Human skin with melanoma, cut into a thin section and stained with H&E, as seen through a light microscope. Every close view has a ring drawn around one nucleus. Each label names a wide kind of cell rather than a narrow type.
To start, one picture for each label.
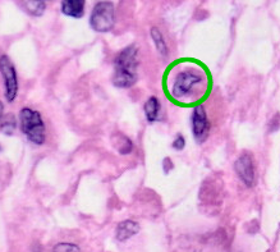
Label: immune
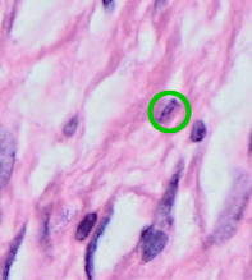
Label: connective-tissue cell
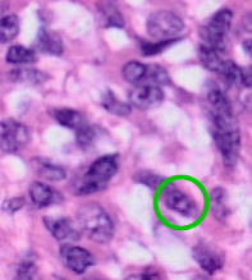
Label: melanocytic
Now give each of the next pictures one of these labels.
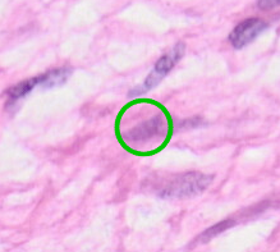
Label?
connective-tissue cell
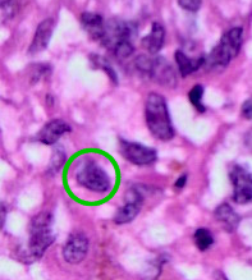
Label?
melanocytic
